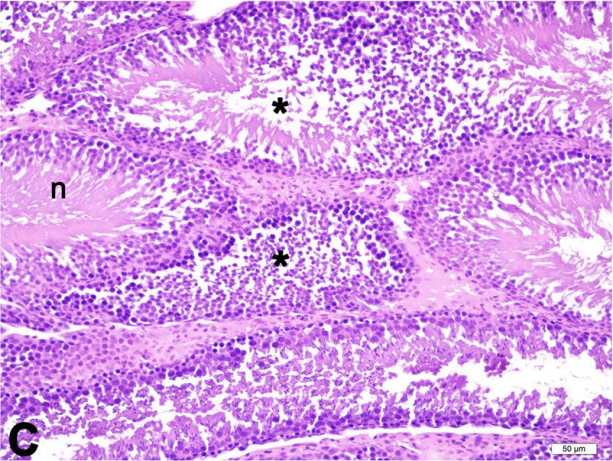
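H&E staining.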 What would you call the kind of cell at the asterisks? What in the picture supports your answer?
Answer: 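The tubule lumens at the asterisks are filled with loose round cells with dark nuclei. These cells lie detached from the epithelial lining.
Conclusion: immature cells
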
